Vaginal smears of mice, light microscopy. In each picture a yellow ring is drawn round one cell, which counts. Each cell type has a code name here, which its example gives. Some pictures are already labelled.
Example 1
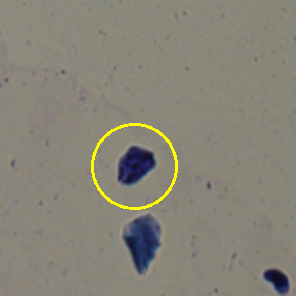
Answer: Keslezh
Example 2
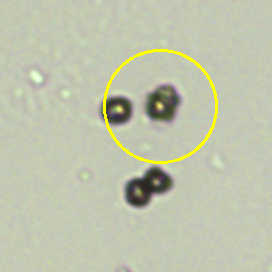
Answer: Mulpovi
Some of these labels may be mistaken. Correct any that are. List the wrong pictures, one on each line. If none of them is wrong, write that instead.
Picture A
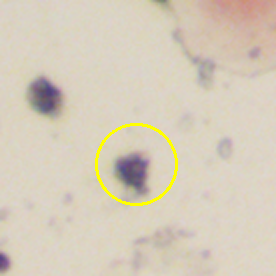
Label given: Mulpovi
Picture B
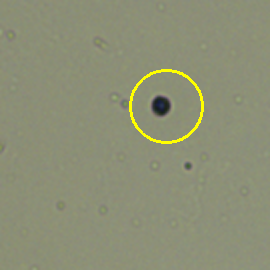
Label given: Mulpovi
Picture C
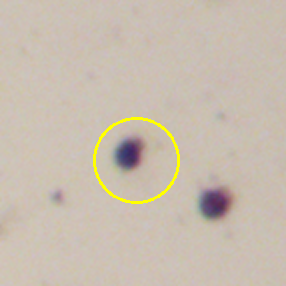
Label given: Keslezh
C should be Mulpovi, not Keslezh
